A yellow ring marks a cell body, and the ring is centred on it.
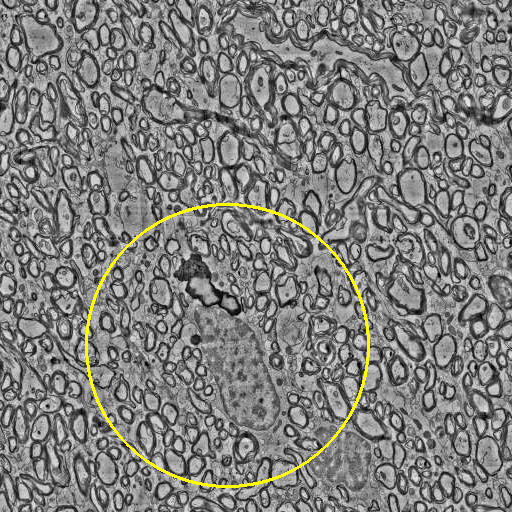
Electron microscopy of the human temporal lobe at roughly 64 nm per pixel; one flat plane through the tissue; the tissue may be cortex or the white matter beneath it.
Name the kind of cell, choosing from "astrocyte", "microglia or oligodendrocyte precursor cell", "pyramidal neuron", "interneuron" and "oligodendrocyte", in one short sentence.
The marked cell body belongs to an oligodendrocyte.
